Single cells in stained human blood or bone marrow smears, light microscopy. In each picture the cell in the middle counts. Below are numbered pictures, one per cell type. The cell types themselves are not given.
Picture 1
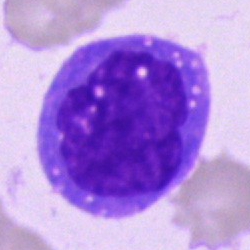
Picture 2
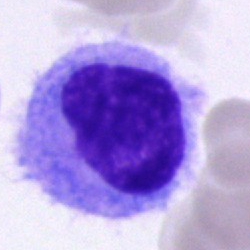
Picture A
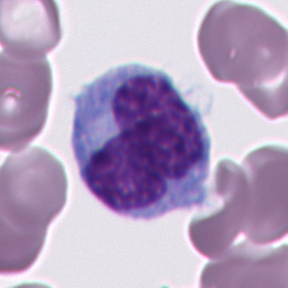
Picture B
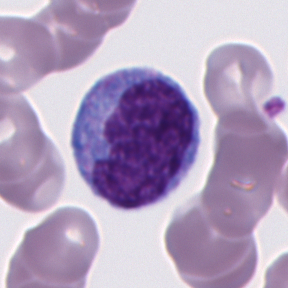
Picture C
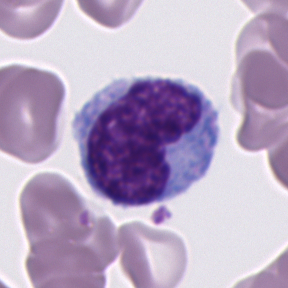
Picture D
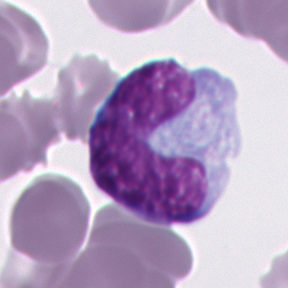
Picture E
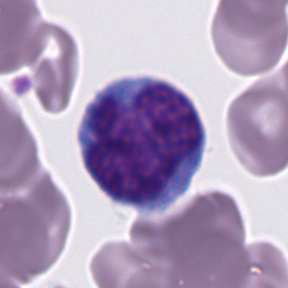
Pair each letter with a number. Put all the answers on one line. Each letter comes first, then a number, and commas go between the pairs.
A 1, B 1, C 1, D 1, E 1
